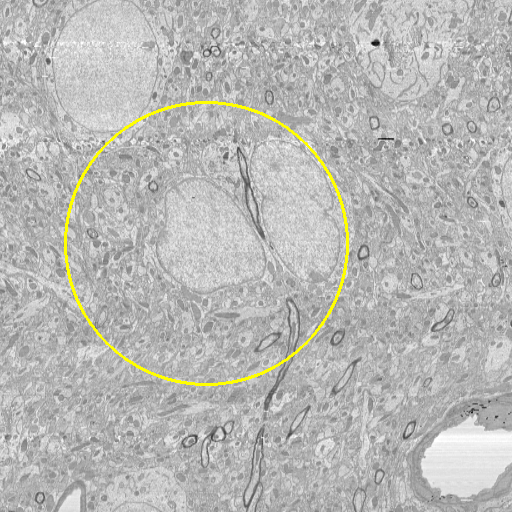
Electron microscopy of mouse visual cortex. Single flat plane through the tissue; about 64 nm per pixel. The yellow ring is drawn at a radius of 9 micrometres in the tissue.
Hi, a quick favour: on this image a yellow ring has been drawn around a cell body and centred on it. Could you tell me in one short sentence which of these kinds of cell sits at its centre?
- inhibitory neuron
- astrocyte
The ring is centred on an astrocyte.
